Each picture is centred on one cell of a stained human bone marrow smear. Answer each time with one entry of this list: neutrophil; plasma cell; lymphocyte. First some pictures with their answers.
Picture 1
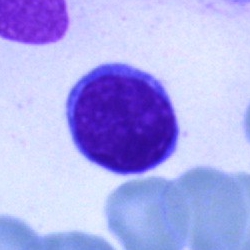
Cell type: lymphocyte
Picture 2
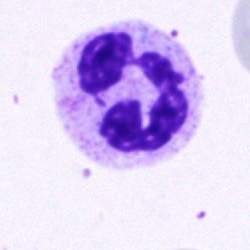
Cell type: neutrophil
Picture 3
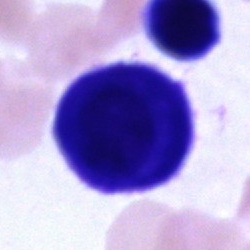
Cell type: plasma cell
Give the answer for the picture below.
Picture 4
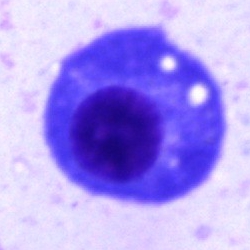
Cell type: plasma cell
